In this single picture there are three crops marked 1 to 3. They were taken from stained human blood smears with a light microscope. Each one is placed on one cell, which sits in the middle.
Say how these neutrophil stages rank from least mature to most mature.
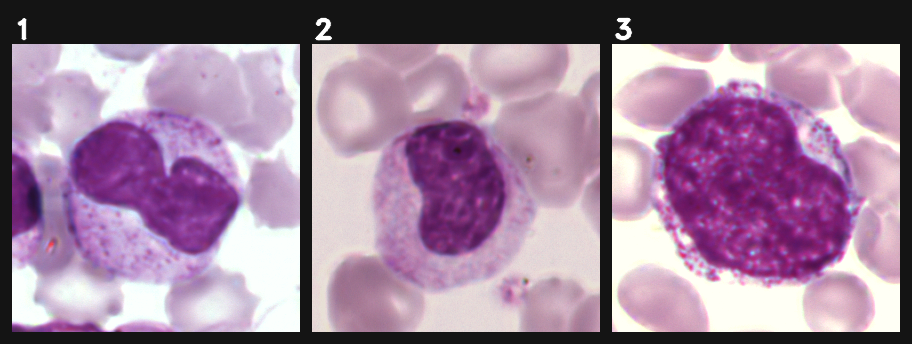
3, 2, 1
